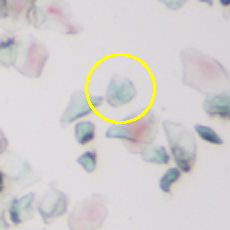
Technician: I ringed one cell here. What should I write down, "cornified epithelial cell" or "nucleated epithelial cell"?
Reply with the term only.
cornified epithelial cell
